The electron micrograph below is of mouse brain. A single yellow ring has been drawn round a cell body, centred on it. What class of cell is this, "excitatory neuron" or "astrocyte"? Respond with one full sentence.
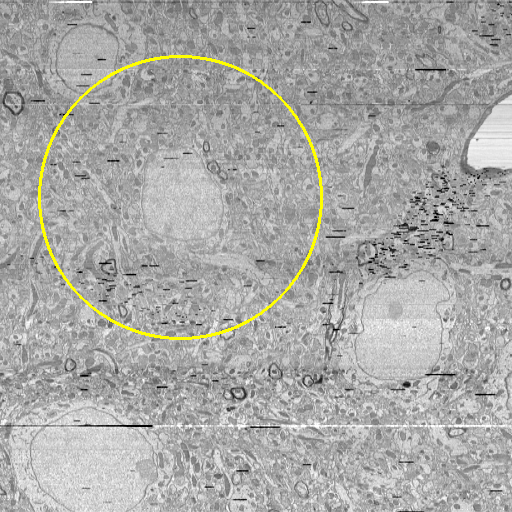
In the micrograph, the cell centred inside the yellow ring is an astrocyte.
